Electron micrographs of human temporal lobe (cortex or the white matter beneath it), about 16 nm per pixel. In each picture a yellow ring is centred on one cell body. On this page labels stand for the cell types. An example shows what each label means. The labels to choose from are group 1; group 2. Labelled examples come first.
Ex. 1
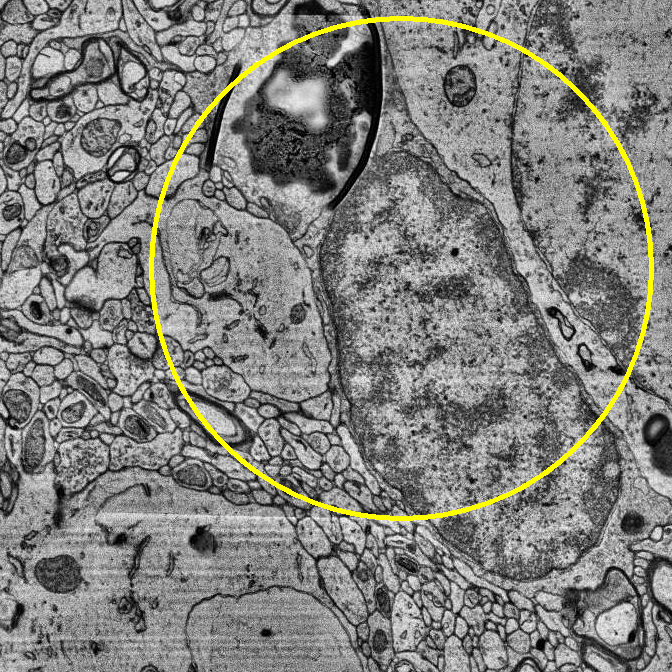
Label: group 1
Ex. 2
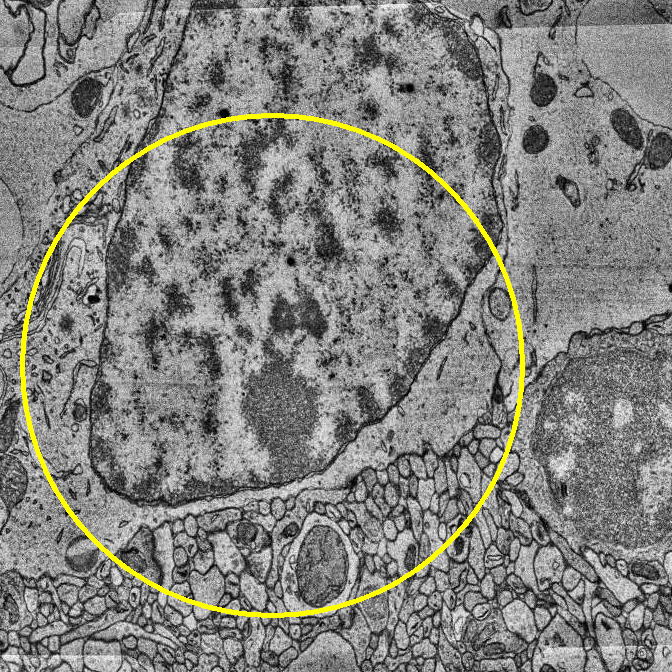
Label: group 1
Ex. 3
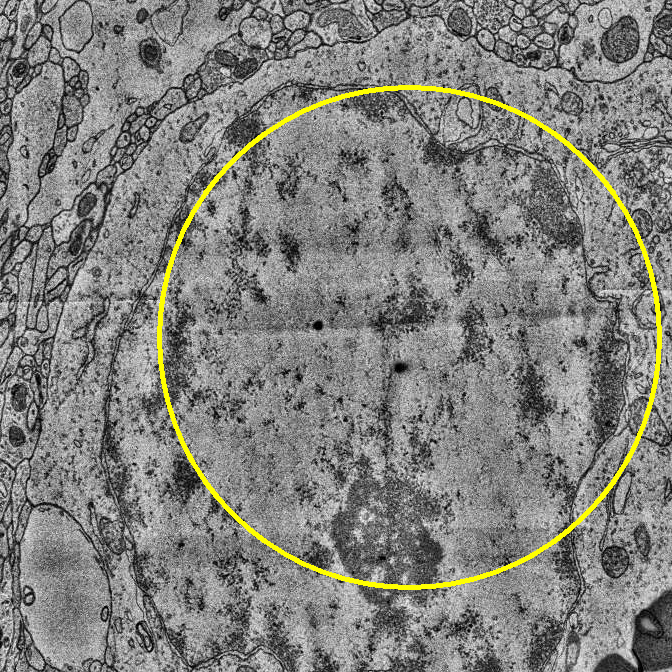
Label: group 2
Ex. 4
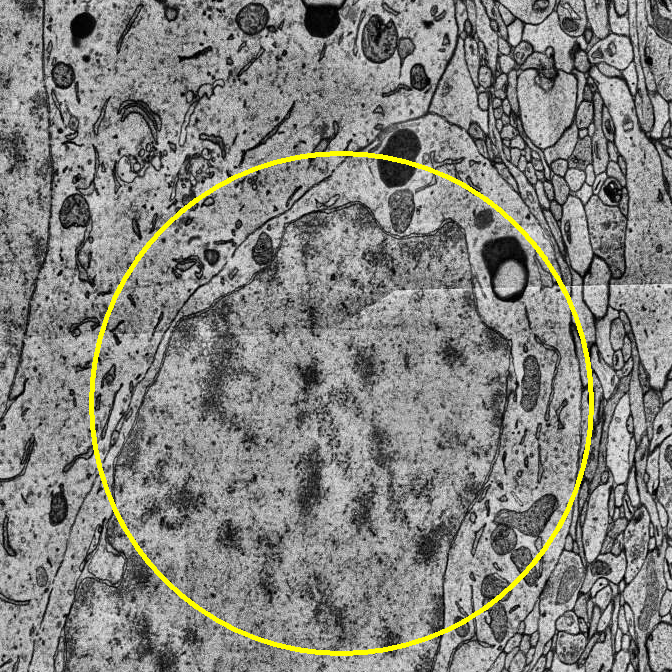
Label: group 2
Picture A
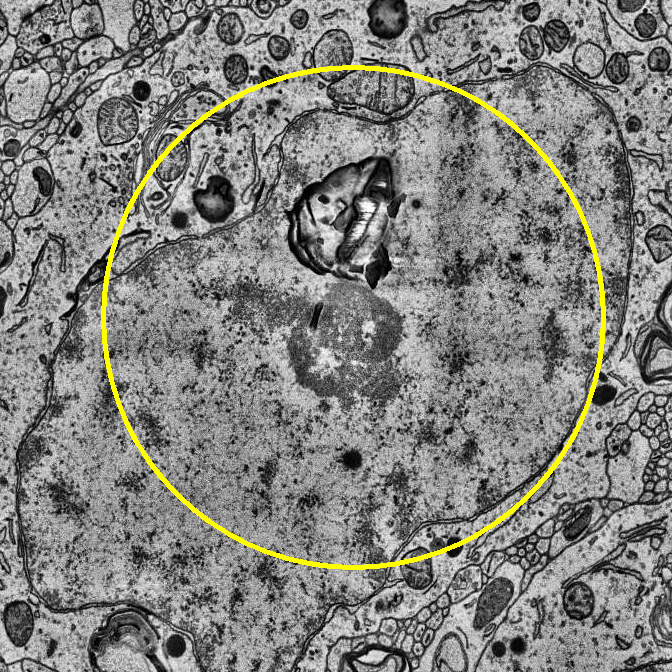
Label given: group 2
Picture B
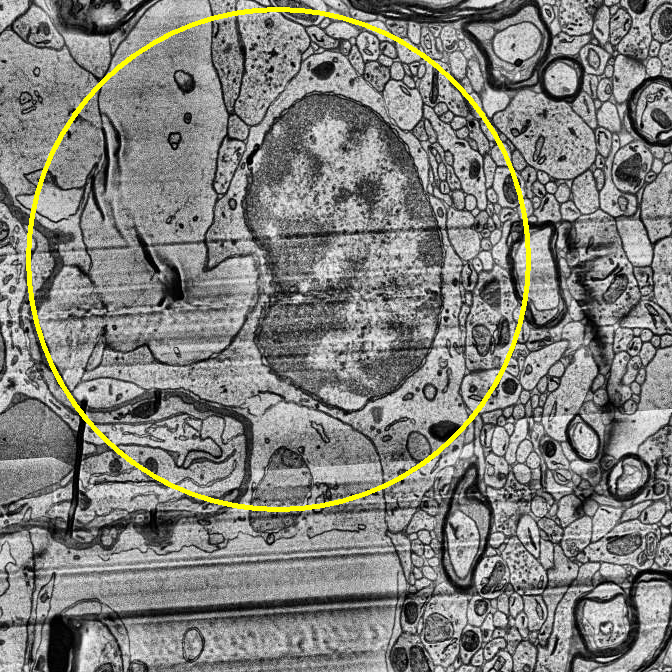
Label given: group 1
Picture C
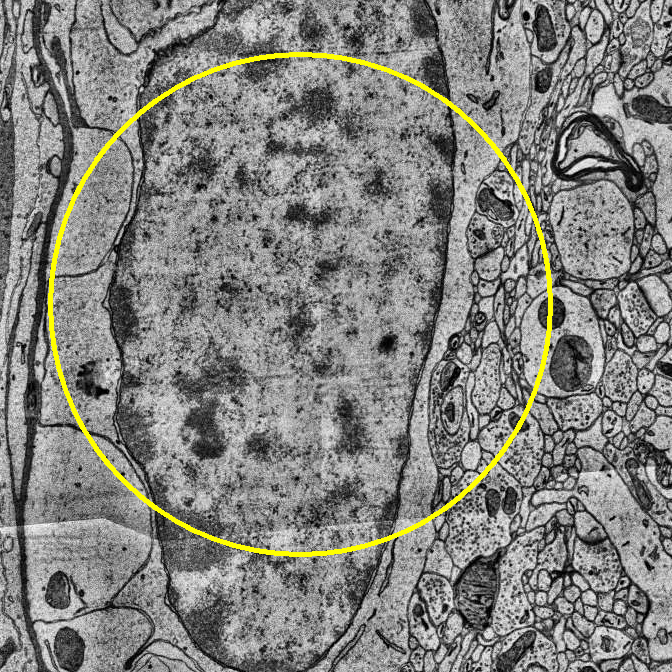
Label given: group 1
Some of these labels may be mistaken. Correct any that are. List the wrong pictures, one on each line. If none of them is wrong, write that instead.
Nothing to fix; every label fits.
